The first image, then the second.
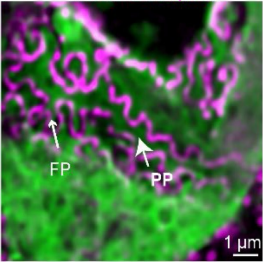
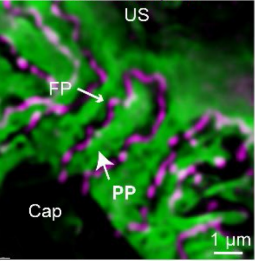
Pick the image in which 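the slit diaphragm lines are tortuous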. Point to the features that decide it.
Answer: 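First image: the magenta lines wind in tight, wavy loops along the processes. Second image: the magenta lines run as fairly straight, dotted bands along widened green processes. The answer: the first image.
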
